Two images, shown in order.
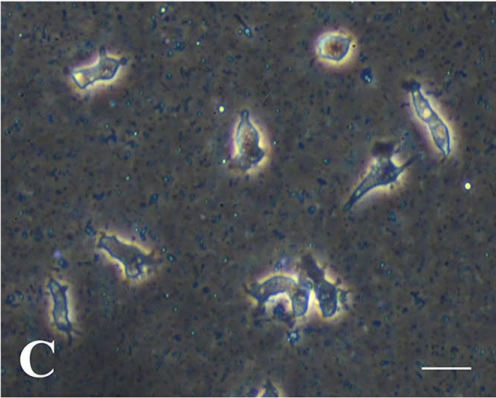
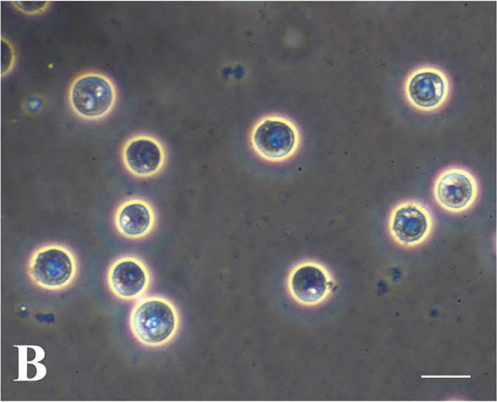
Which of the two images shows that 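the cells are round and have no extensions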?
The second image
